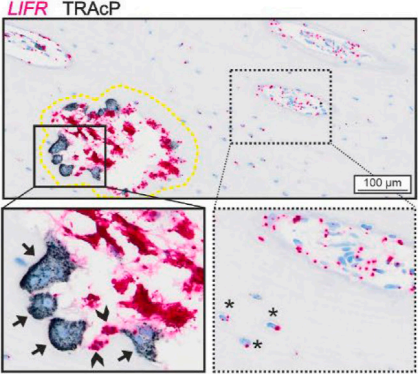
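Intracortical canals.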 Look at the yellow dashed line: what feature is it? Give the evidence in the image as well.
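Eroded surfaces. The dashed line follows an irregular scalloped edge of the canal. Large black-stained cells lie along this edge.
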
